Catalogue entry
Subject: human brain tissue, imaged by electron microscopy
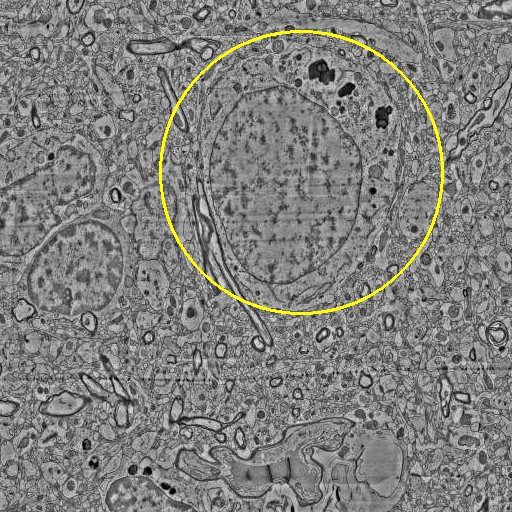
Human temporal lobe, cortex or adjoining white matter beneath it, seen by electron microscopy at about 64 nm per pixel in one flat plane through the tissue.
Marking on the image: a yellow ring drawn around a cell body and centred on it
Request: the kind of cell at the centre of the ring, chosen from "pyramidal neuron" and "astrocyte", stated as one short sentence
The ring has a pyramidal neuron at its centre.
